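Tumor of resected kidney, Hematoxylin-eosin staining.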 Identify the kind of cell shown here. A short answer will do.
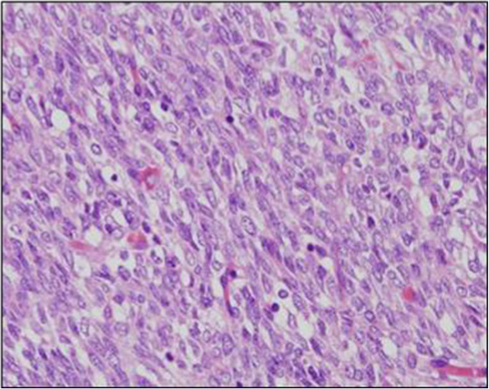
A: Spindle-shaped cells.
